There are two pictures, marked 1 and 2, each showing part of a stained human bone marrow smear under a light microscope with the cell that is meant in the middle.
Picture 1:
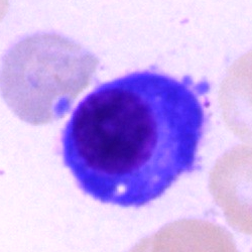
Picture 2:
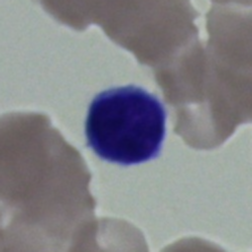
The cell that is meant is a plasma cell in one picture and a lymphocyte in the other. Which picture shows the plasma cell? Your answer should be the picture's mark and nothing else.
1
